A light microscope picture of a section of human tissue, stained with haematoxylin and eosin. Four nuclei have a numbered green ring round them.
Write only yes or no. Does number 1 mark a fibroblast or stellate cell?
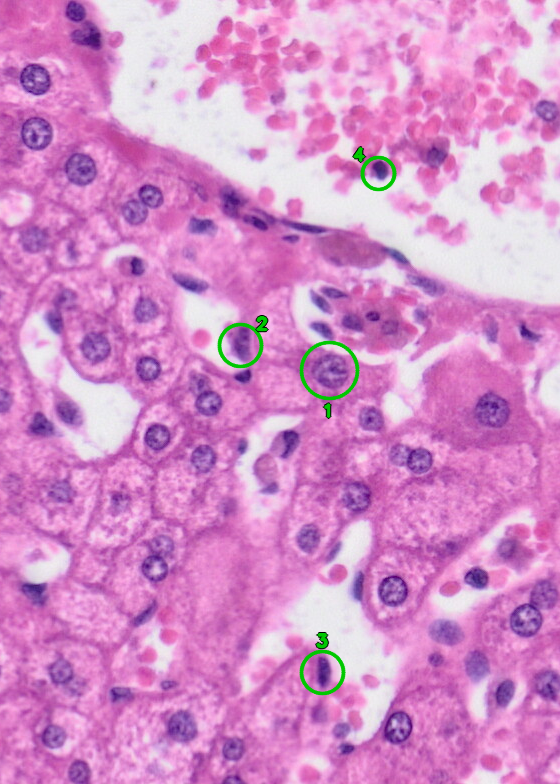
no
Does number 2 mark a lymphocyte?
no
